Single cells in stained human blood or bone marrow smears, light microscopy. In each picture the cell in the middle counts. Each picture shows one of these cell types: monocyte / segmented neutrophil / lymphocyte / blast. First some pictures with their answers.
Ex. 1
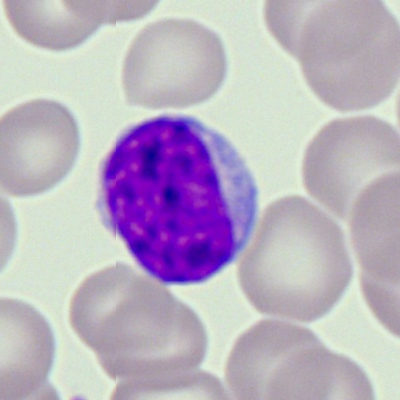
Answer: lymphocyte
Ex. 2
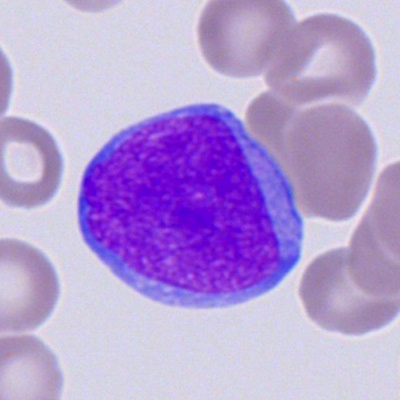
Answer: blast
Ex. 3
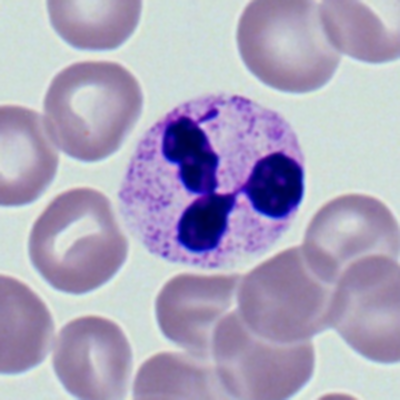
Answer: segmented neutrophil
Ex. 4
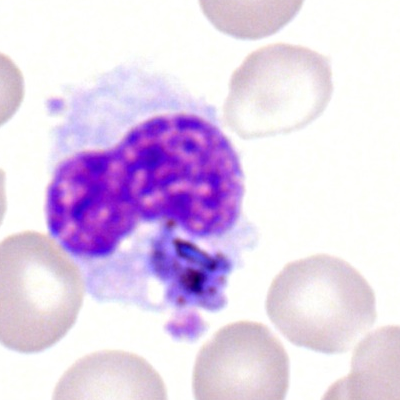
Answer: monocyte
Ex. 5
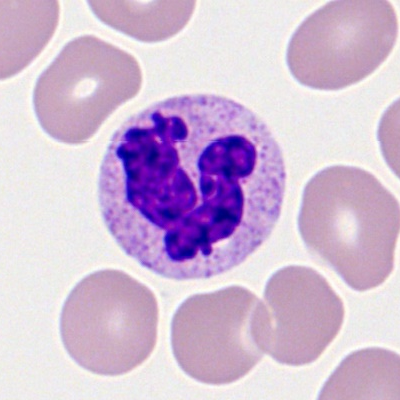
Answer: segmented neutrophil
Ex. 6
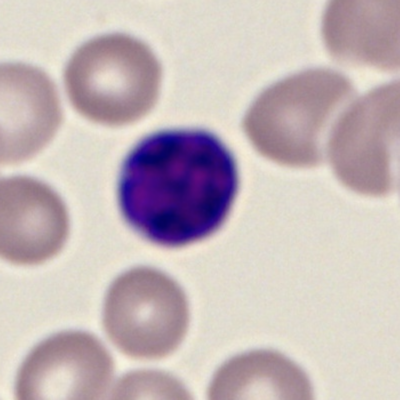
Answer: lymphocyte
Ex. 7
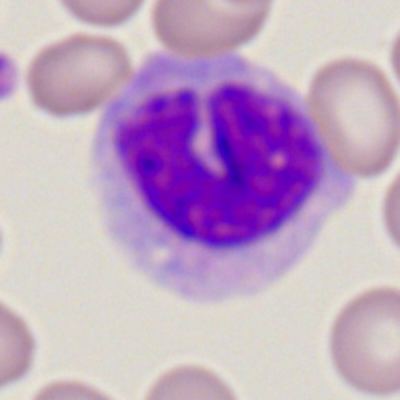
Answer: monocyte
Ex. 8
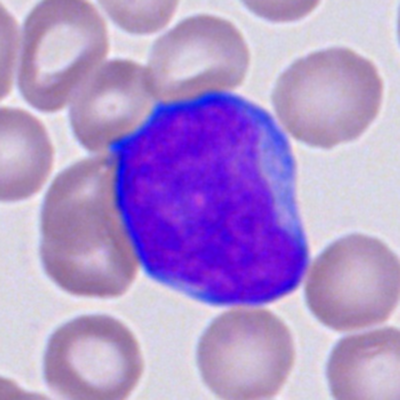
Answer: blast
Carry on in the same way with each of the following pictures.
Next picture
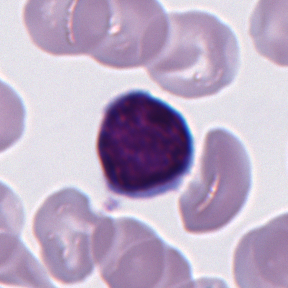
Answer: lymphocyte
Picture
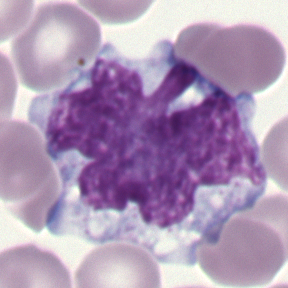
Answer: monocyte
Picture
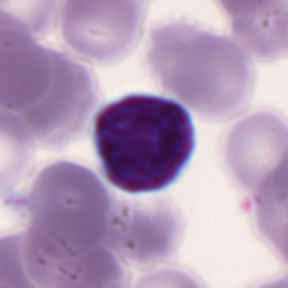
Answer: lymphocyte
